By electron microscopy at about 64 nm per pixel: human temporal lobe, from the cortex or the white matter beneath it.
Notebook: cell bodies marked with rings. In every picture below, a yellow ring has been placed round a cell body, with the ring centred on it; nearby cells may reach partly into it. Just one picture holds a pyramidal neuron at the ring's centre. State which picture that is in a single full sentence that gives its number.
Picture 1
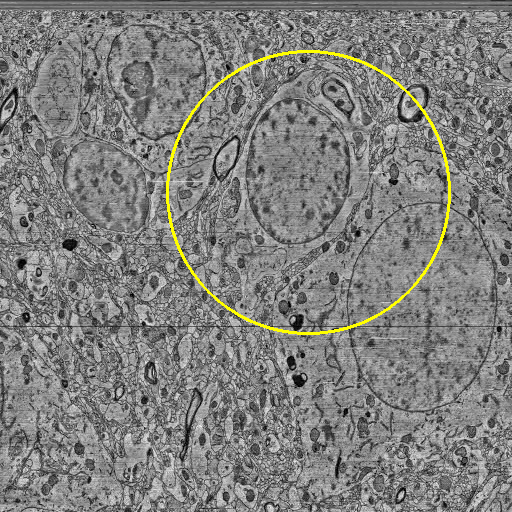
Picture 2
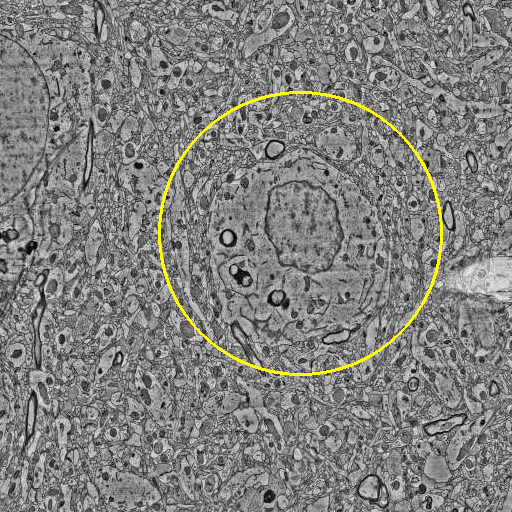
It is picture 2 whose ring has the wanted cell right at its centre.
